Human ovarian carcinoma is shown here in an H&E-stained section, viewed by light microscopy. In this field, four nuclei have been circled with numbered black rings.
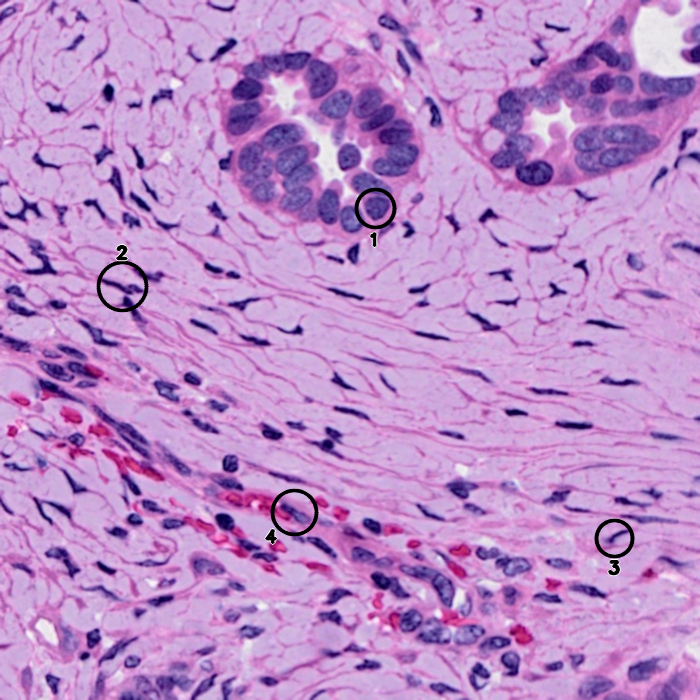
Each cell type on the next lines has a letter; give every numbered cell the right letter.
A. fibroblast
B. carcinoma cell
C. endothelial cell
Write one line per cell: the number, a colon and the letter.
1: B
2: A
3: A
4: C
